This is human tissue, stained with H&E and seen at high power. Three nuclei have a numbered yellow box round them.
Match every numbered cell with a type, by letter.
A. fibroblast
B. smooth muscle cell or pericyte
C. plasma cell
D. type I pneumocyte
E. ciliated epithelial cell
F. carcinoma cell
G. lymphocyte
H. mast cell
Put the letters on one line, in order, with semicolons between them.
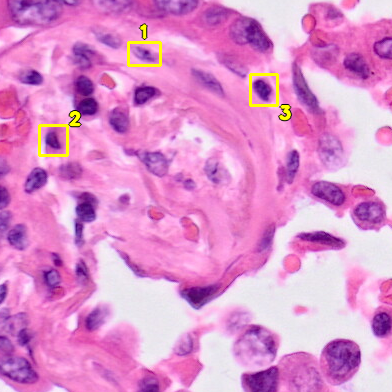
A; C; G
